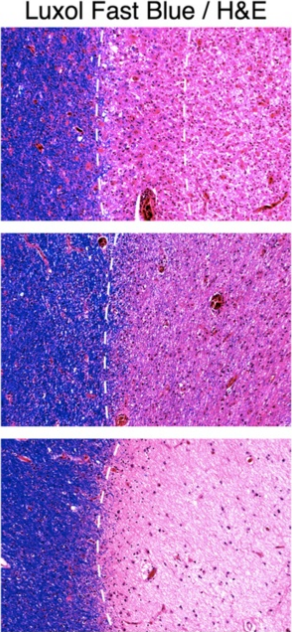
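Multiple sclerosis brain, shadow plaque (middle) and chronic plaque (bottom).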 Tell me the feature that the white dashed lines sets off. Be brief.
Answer: Lesion border.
